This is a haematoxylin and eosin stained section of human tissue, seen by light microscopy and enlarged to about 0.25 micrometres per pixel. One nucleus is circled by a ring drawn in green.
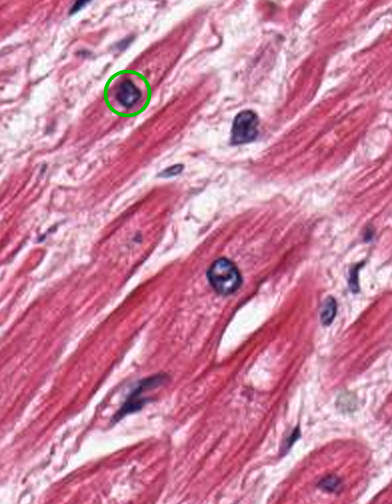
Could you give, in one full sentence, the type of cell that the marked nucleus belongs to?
In this picture, the marked nucleus belongs to a cardiomyocyte.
